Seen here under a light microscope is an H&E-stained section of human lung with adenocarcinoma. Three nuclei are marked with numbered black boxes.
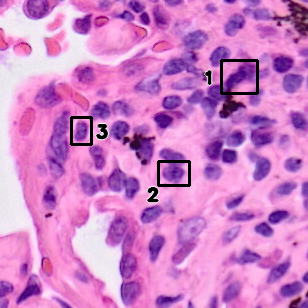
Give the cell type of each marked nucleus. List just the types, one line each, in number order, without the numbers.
plasma cell
lymphocyte
lymphocyte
